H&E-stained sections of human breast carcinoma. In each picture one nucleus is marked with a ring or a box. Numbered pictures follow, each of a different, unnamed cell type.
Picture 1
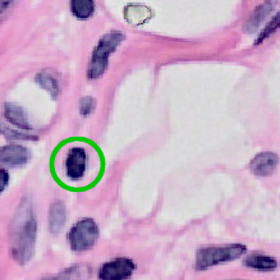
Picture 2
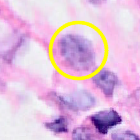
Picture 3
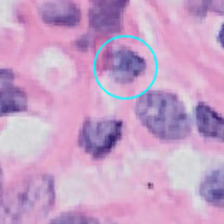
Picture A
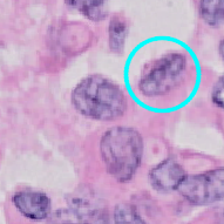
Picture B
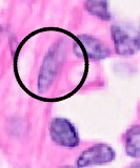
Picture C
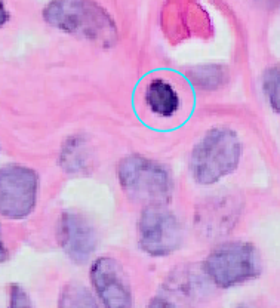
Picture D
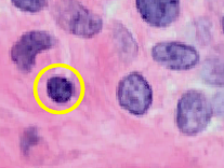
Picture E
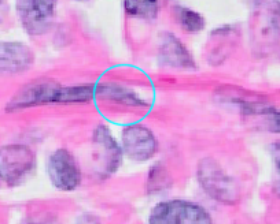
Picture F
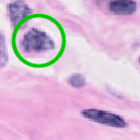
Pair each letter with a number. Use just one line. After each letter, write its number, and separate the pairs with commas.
A 2, B 3, C 1, D 1, E 3, F 1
